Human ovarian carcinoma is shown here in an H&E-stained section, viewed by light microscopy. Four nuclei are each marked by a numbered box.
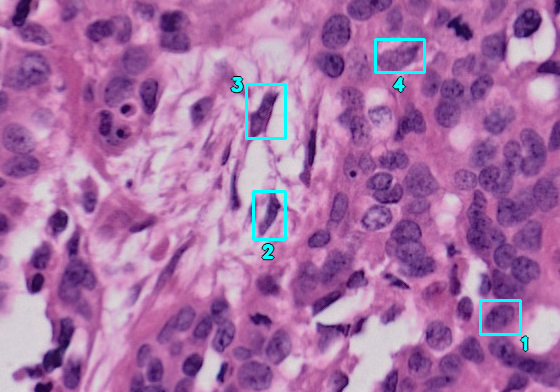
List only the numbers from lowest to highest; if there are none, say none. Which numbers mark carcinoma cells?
1, 4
